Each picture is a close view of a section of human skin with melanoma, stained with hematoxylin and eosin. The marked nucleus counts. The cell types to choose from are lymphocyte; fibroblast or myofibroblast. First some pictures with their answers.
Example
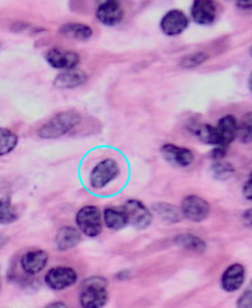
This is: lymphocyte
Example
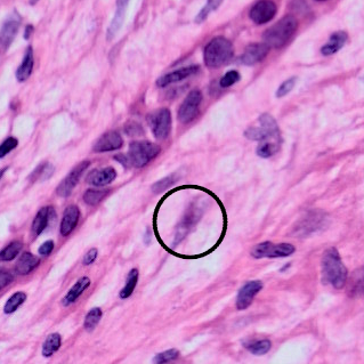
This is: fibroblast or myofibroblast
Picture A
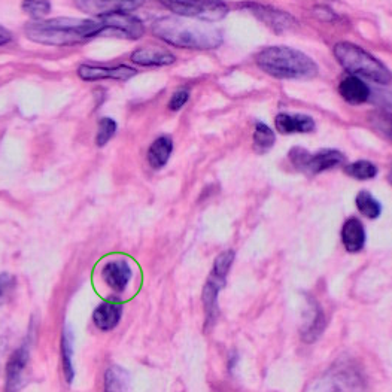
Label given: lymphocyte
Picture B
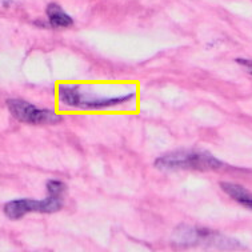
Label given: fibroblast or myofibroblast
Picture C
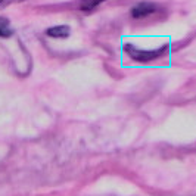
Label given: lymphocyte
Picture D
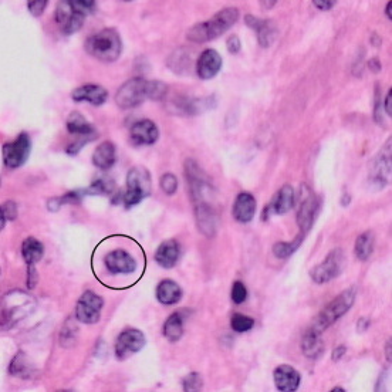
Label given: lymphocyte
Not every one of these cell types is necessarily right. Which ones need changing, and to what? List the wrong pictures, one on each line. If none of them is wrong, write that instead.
Wrong: C (lymphocyte); correct: fibroblast or myofibroblast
